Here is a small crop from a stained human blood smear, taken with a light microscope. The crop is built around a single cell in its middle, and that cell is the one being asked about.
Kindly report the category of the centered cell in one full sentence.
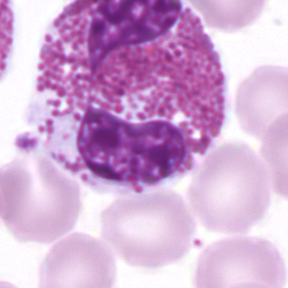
The cell of interest, in the center, is an eosinophil.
